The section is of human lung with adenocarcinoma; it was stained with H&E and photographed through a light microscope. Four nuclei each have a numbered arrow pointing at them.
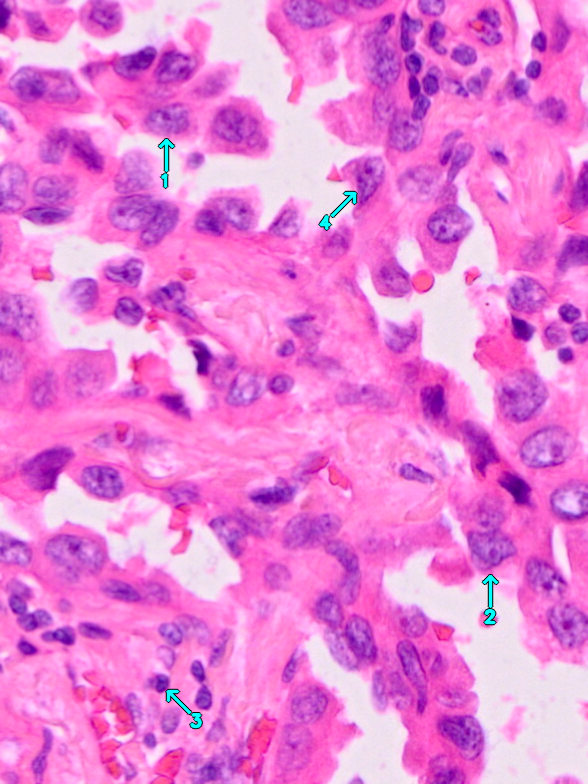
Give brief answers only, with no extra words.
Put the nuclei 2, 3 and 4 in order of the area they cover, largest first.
2, 4, 3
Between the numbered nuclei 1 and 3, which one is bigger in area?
1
